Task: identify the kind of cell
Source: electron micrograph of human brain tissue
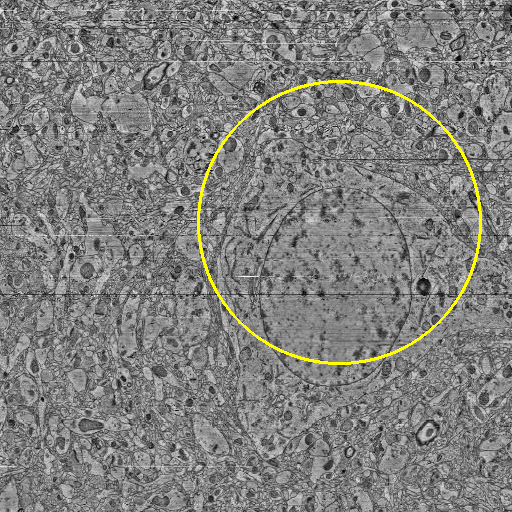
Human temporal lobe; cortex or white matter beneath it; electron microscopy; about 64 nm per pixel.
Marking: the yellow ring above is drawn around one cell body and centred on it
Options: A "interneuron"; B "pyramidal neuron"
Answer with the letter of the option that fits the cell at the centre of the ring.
B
